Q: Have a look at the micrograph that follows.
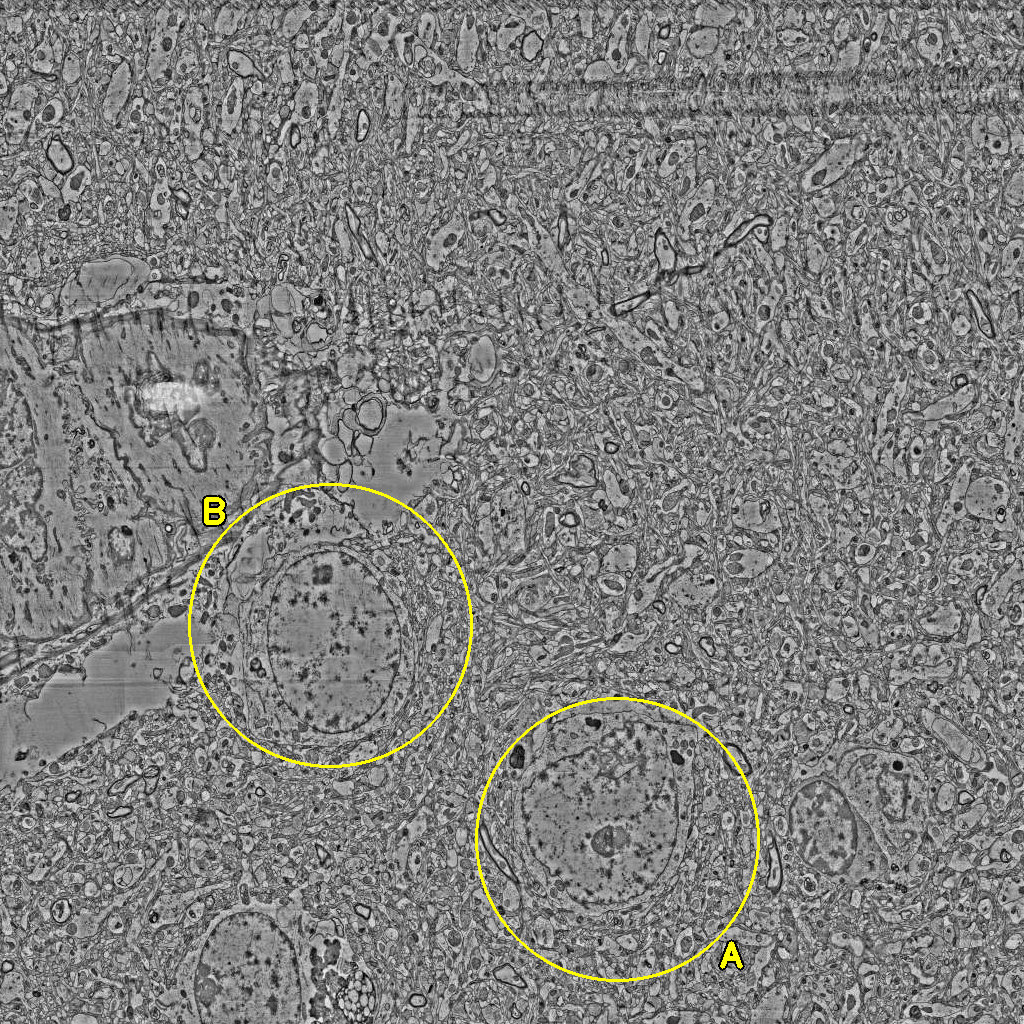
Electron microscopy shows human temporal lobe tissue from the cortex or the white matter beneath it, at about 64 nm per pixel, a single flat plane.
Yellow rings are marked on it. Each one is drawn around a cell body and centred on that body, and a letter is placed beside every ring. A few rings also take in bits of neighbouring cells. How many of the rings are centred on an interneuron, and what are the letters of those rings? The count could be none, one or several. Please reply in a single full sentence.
Beside the single ring centred on an interneuron stands the letter A.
